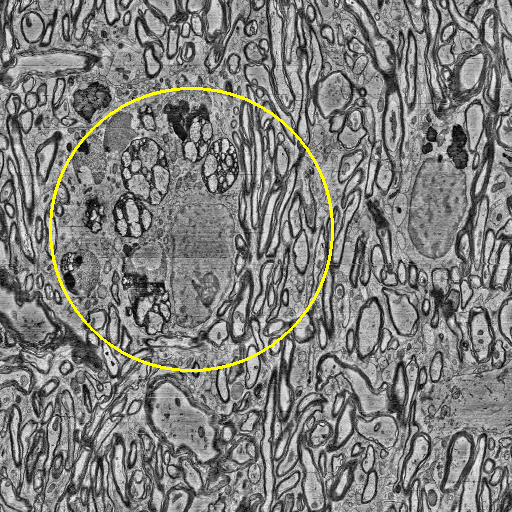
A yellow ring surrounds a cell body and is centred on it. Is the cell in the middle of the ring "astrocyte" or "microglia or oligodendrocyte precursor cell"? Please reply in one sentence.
The ring is centred on an astrocyte.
